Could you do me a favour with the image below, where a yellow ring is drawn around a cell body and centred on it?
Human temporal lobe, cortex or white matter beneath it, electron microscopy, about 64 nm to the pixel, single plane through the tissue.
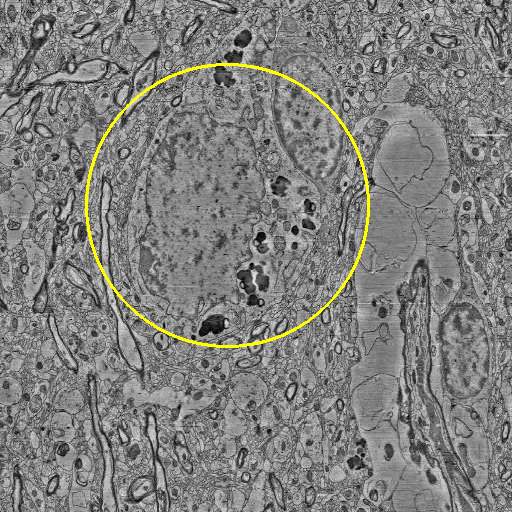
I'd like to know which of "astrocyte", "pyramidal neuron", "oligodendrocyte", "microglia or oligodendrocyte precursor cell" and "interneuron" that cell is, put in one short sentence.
The cell at the ring's centre is an interneuron.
